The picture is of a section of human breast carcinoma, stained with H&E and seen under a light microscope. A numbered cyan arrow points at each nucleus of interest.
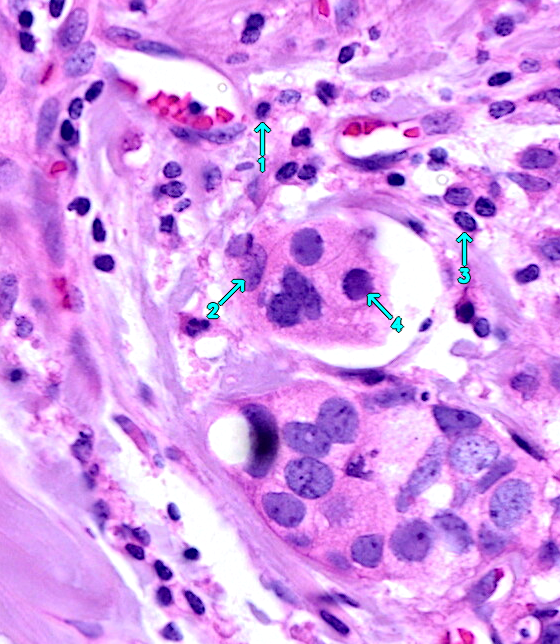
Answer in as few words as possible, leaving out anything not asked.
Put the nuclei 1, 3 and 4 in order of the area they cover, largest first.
4, 3, 1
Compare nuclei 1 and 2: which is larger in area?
2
